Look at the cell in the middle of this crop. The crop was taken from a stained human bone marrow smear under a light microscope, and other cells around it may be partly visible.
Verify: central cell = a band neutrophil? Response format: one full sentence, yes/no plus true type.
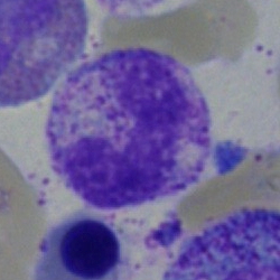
Yes, the cell here in the middle is a band neutrophil.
